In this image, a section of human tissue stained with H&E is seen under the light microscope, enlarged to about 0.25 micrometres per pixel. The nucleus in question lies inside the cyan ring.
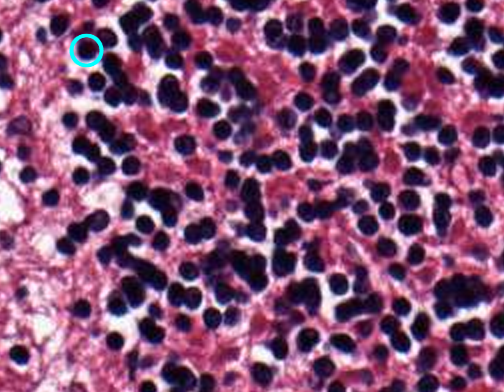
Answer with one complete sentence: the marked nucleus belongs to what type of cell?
On this slide, the marked nucleus belongs to a cerebellar granule cell.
